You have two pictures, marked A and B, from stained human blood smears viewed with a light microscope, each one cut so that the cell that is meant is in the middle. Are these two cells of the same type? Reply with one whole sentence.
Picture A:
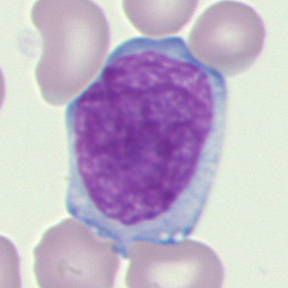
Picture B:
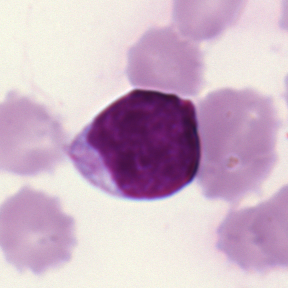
Yes, both cells are myeloblasts.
